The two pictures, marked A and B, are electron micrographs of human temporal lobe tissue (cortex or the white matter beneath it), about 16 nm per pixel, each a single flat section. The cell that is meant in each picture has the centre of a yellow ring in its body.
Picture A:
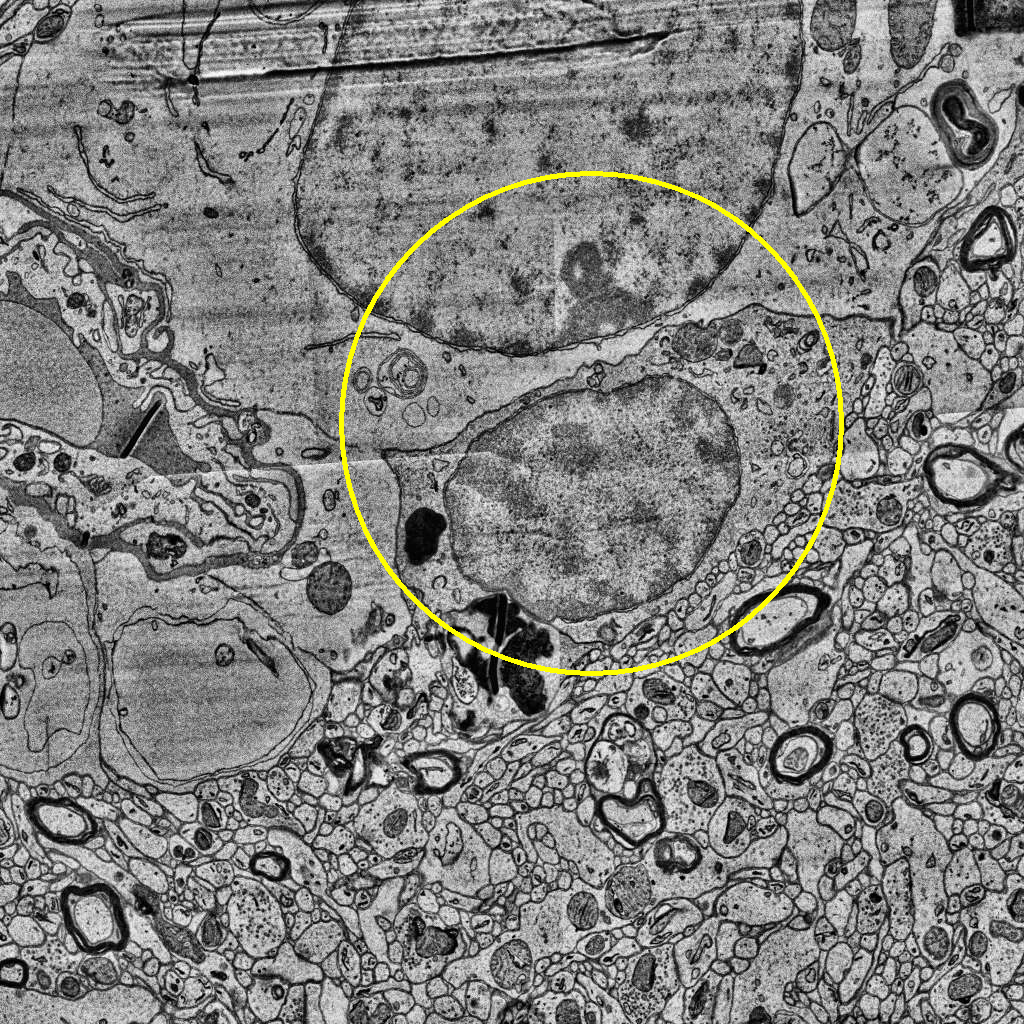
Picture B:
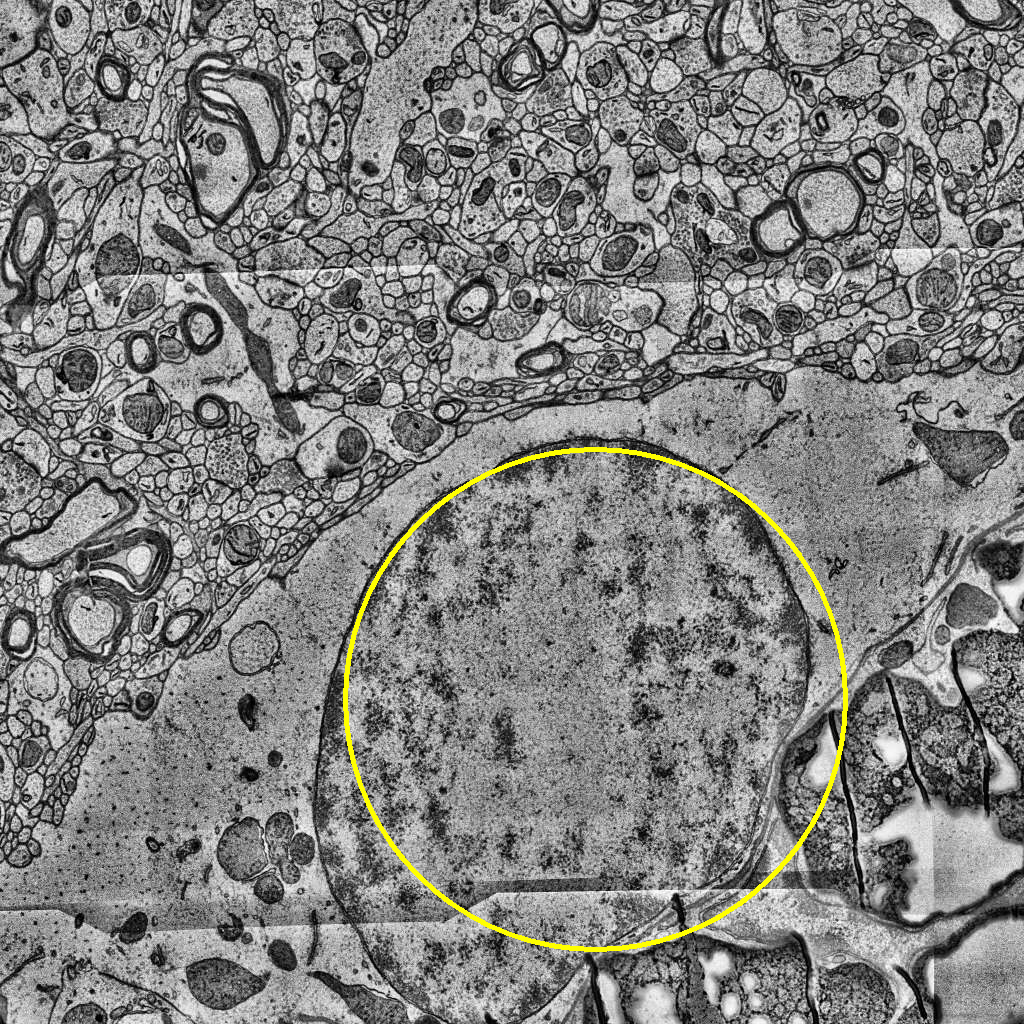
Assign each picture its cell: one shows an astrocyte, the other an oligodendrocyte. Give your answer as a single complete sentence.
The cell in picture A is an oligodendrocyte, and the one in picture B is an astrocyte.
